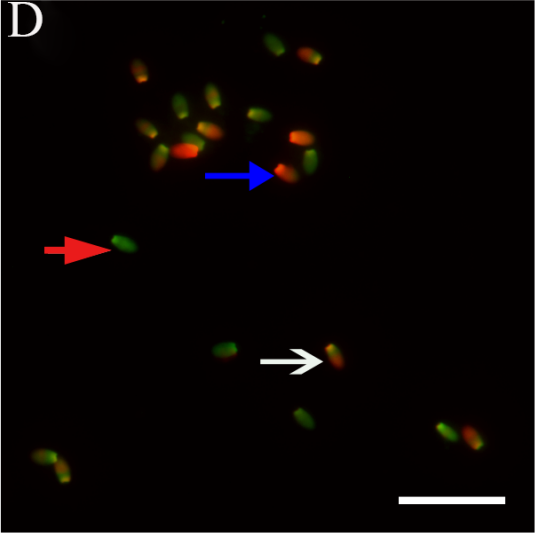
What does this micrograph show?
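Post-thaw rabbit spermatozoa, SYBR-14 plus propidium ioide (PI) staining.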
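Some heads are wholly green, others wholly red, and many are split, green in one part and orange-red in the other. A loose cluster of heads lies in the upper part of the field, with scattered single heads below.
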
